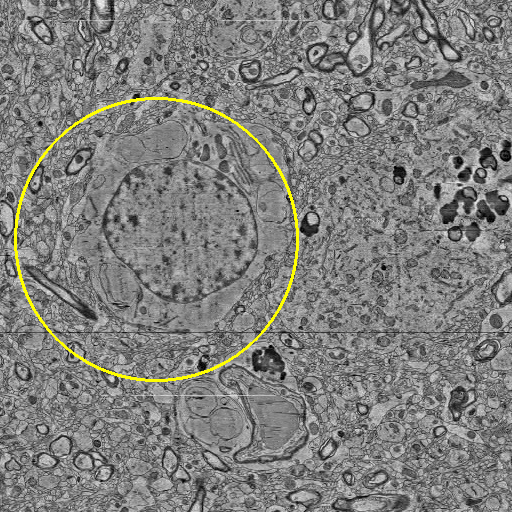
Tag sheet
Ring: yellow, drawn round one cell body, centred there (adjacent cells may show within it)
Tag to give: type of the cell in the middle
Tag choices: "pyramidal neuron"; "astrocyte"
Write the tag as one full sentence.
I tag the cell centred in the yellow ring as an astrocyte in this picture.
